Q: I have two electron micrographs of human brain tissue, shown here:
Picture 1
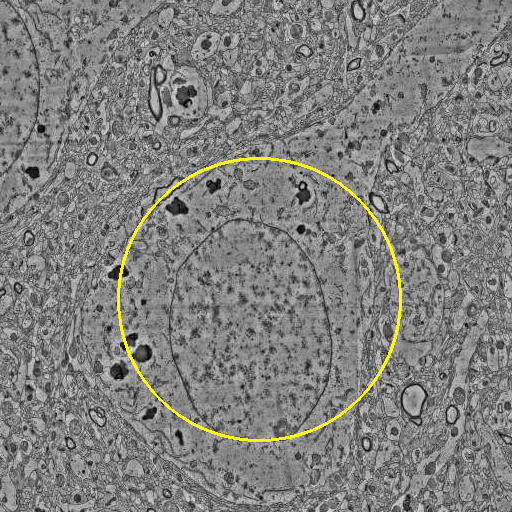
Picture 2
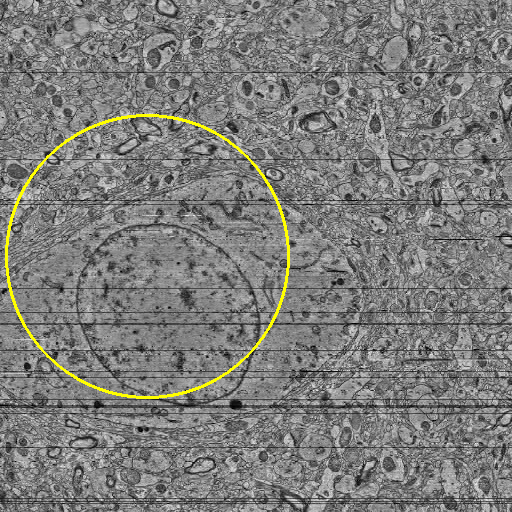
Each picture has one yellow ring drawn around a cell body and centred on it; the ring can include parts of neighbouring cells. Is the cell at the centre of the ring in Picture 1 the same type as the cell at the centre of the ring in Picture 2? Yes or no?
yes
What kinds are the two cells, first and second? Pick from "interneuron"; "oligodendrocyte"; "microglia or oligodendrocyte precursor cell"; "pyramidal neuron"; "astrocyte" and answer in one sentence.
The cell in the first picture is a pyramidal neuron, and so is the one in the second.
